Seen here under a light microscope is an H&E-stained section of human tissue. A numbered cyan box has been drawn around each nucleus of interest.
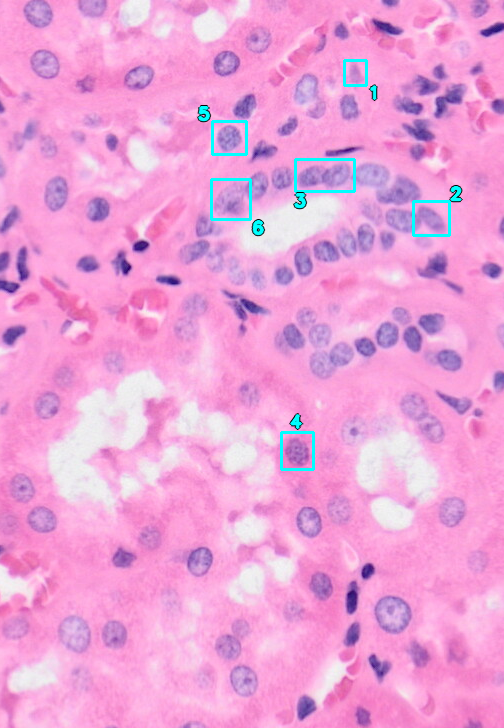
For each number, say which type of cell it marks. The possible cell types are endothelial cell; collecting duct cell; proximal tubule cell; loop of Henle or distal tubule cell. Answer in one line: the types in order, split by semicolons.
loop of Henle or distal tubule cell; collecting duct cell; collecting duct cell; proximal tubule cell; loop of Henle or distal tubule cell; collecting duct cell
